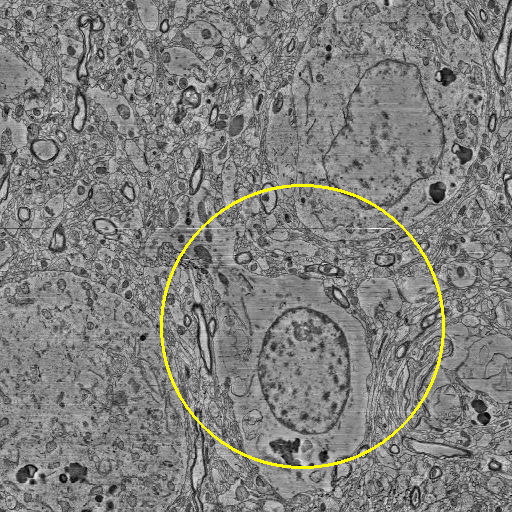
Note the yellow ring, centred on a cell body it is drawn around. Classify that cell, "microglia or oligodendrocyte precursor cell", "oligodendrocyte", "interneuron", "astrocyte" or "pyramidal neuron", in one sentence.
The cell the ring is centred on is an astrocyte.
